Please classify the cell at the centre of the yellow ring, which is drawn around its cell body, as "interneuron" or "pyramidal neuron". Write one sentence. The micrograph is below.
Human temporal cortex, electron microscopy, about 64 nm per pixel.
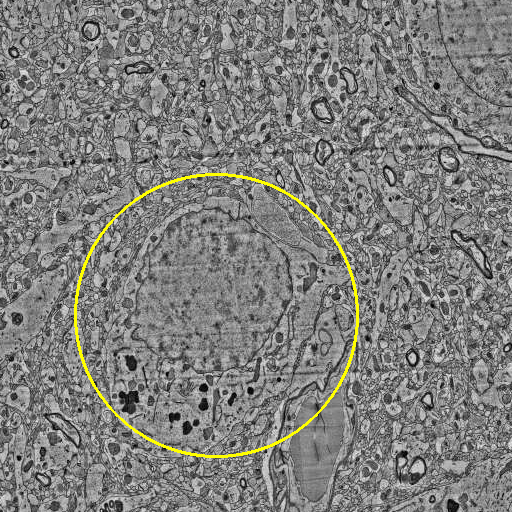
The cell at the ring's centre is classified as an interneuron.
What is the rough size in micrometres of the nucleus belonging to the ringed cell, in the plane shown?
About 11 micrometers across, in this plane.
